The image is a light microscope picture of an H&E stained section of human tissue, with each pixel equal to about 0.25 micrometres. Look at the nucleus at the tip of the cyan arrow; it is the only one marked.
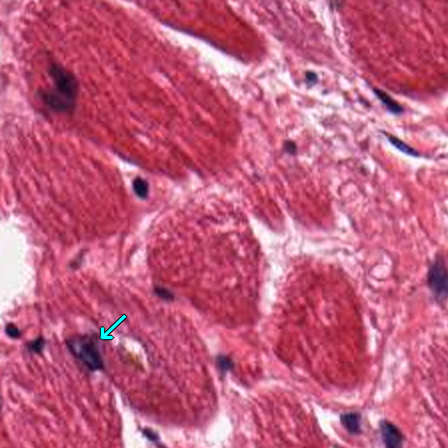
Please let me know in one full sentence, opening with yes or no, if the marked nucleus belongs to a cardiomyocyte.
Yes, the nucleus indicated by the marking belongs to a cardiomyocyte.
